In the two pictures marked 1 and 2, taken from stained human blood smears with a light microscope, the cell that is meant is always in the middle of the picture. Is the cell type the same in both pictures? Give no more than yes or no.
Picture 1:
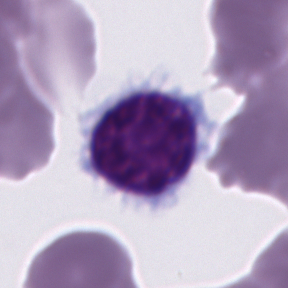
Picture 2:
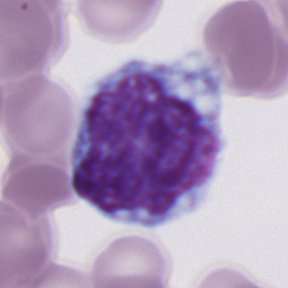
no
